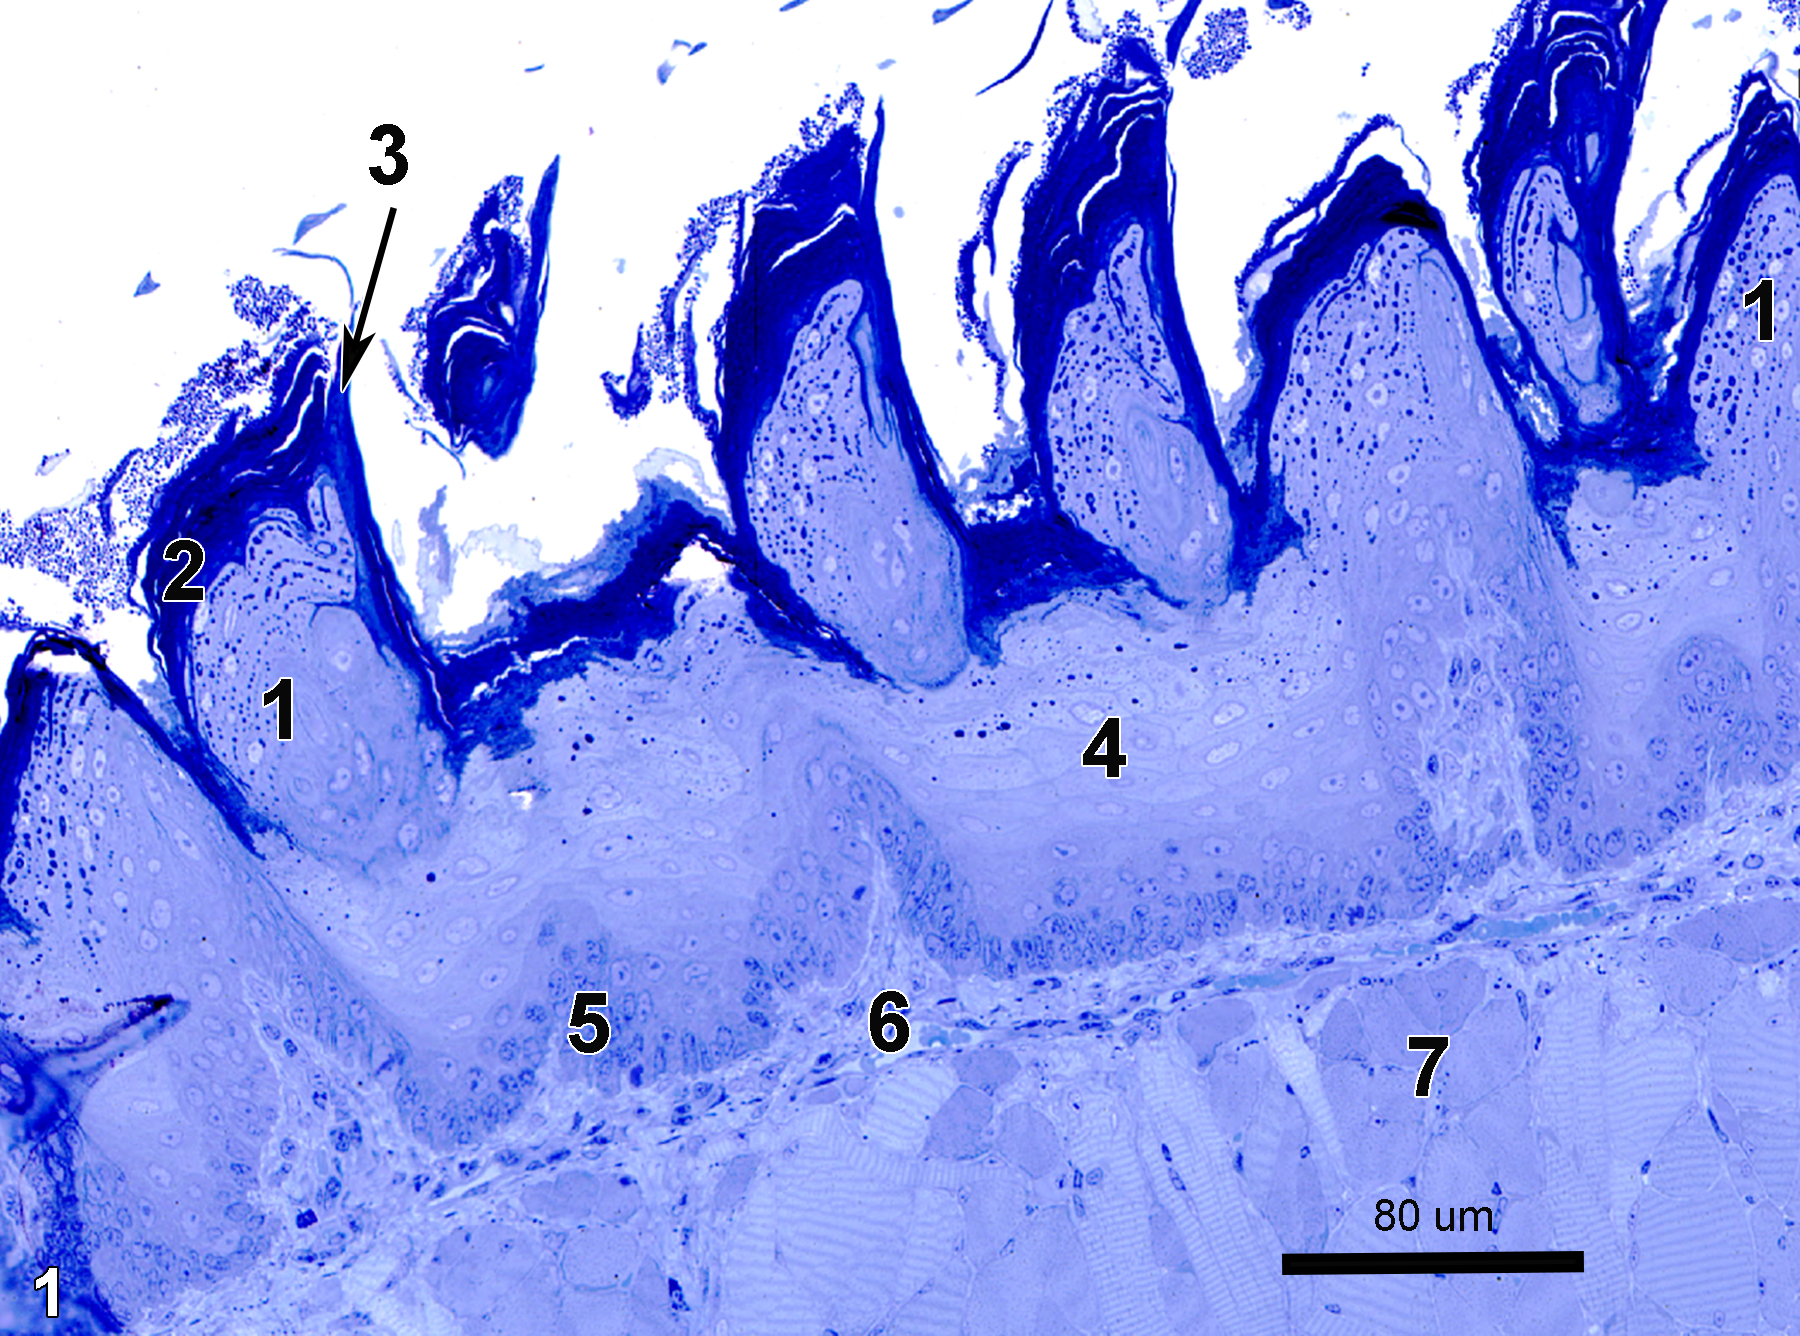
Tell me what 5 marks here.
Layer of basal cells.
